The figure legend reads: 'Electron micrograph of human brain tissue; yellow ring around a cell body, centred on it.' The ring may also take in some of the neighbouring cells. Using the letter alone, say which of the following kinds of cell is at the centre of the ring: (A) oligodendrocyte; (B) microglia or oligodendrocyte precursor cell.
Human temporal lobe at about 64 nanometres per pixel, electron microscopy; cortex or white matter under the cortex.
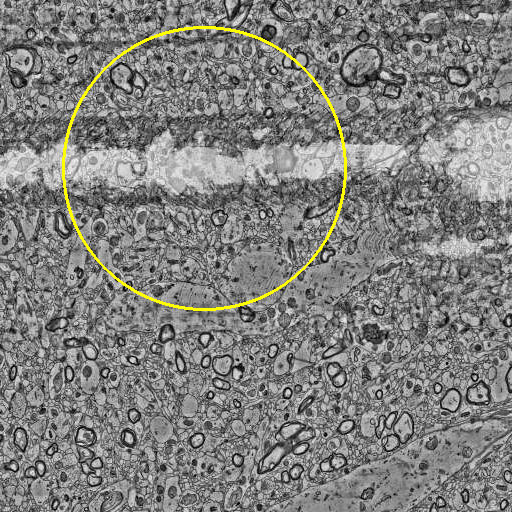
A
